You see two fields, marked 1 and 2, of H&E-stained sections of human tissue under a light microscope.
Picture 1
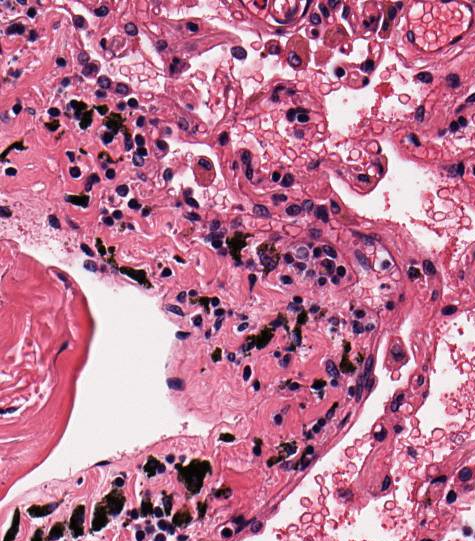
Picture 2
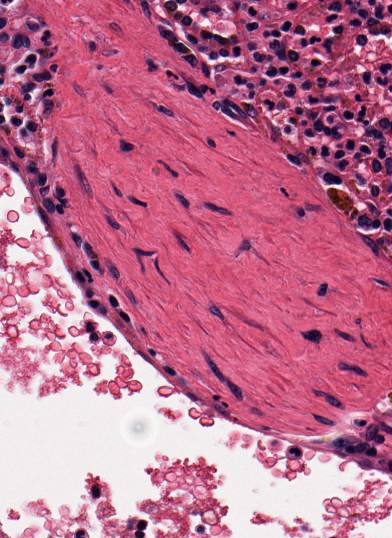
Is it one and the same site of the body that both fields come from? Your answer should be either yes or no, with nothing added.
no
